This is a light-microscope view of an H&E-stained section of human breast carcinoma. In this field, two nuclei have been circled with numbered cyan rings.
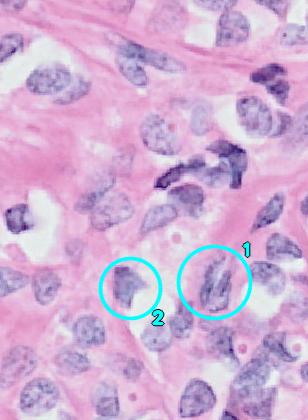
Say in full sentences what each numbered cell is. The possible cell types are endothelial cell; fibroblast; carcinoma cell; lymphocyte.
Cell 1 is an endothelial cell and cell 2 is a carcinoma cell.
